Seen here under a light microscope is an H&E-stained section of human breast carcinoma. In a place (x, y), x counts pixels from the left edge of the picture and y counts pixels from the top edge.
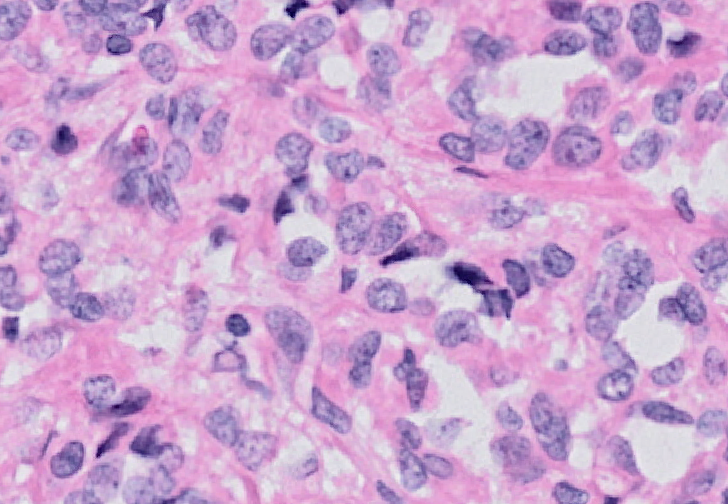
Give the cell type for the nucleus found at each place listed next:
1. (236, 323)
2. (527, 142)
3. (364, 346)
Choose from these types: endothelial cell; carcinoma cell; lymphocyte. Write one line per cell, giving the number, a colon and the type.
1: lymphocyte
2: carcinoma cell
3: carcinoma cell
